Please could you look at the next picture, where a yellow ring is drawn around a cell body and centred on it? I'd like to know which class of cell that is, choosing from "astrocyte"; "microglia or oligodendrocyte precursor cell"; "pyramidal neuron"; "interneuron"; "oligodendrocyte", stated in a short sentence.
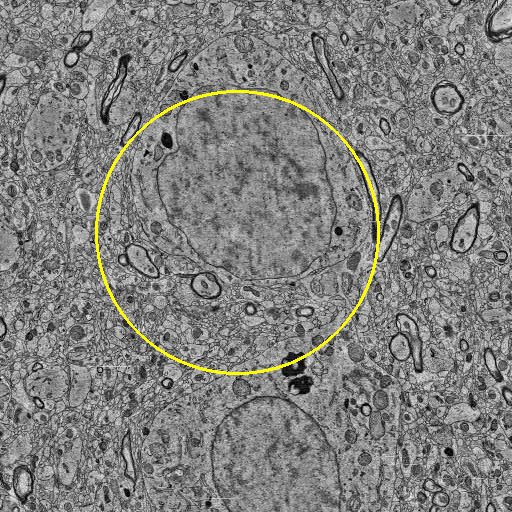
The ring's centre lies on a pyramidal neuron.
